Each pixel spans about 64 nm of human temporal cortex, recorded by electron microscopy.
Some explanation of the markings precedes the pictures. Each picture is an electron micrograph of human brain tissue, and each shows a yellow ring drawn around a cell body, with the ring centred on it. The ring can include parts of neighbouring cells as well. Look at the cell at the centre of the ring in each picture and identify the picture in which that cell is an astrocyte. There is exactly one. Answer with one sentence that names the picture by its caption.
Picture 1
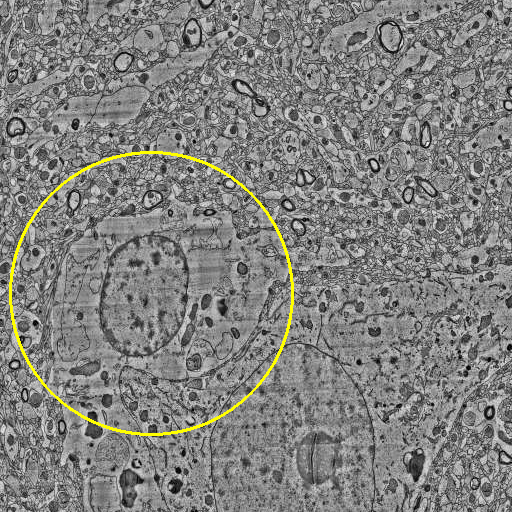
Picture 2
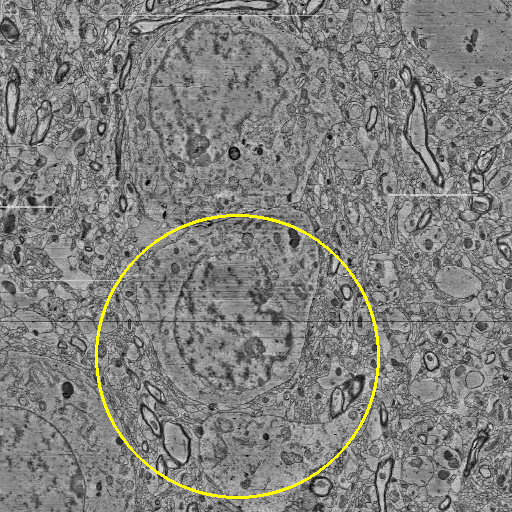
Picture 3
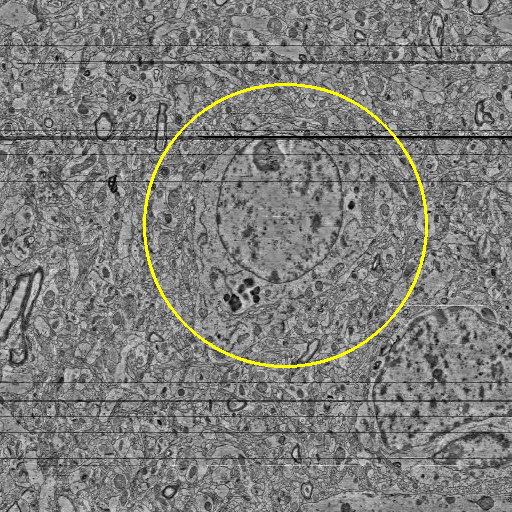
In Picture 1, the cell at the centre of the ring is of that kind.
